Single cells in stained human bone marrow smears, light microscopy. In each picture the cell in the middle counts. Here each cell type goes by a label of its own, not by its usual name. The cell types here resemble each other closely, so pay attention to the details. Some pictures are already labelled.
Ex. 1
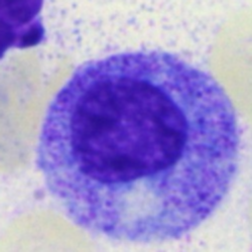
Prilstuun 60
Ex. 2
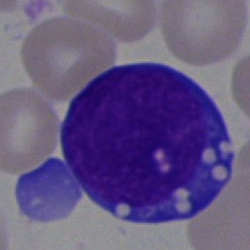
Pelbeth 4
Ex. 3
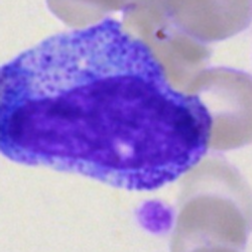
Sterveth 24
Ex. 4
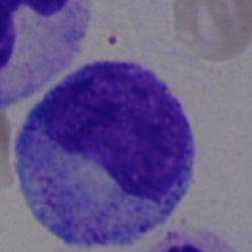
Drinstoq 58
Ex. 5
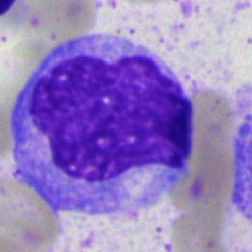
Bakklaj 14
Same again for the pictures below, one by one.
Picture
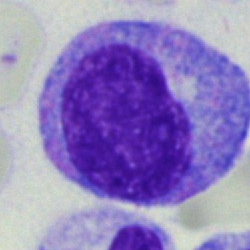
Sterveth 24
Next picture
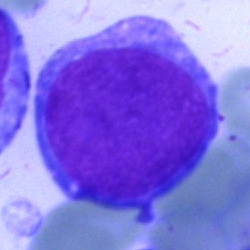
Pelbeth 4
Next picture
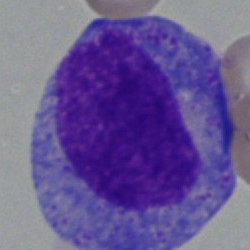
Sterveth 24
